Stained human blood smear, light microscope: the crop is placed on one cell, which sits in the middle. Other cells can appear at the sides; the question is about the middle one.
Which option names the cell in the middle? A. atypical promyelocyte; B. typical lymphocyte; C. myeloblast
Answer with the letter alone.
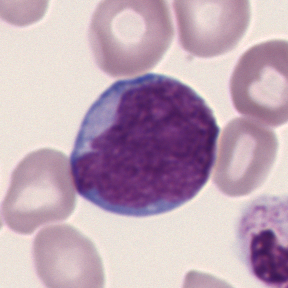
C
